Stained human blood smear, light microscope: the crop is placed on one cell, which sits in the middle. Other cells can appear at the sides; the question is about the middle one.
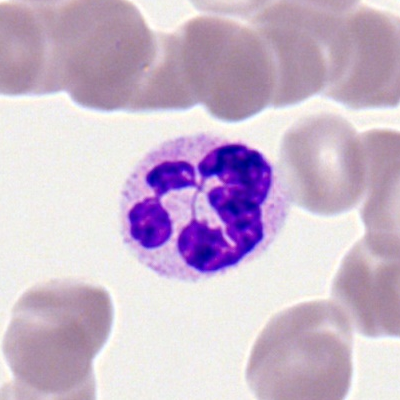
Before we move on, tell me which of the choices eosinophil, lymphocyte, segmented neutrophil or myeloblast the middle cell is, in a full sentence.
This crop is built around a segmented neutrophil at its centre.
